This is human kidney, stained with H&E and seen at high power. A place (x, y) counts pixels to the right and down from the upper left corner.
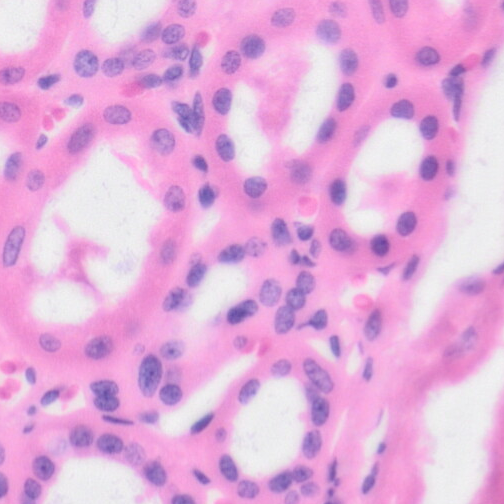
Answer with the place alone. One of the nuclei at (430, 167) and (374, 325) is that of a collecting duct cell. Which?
(374, 325)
